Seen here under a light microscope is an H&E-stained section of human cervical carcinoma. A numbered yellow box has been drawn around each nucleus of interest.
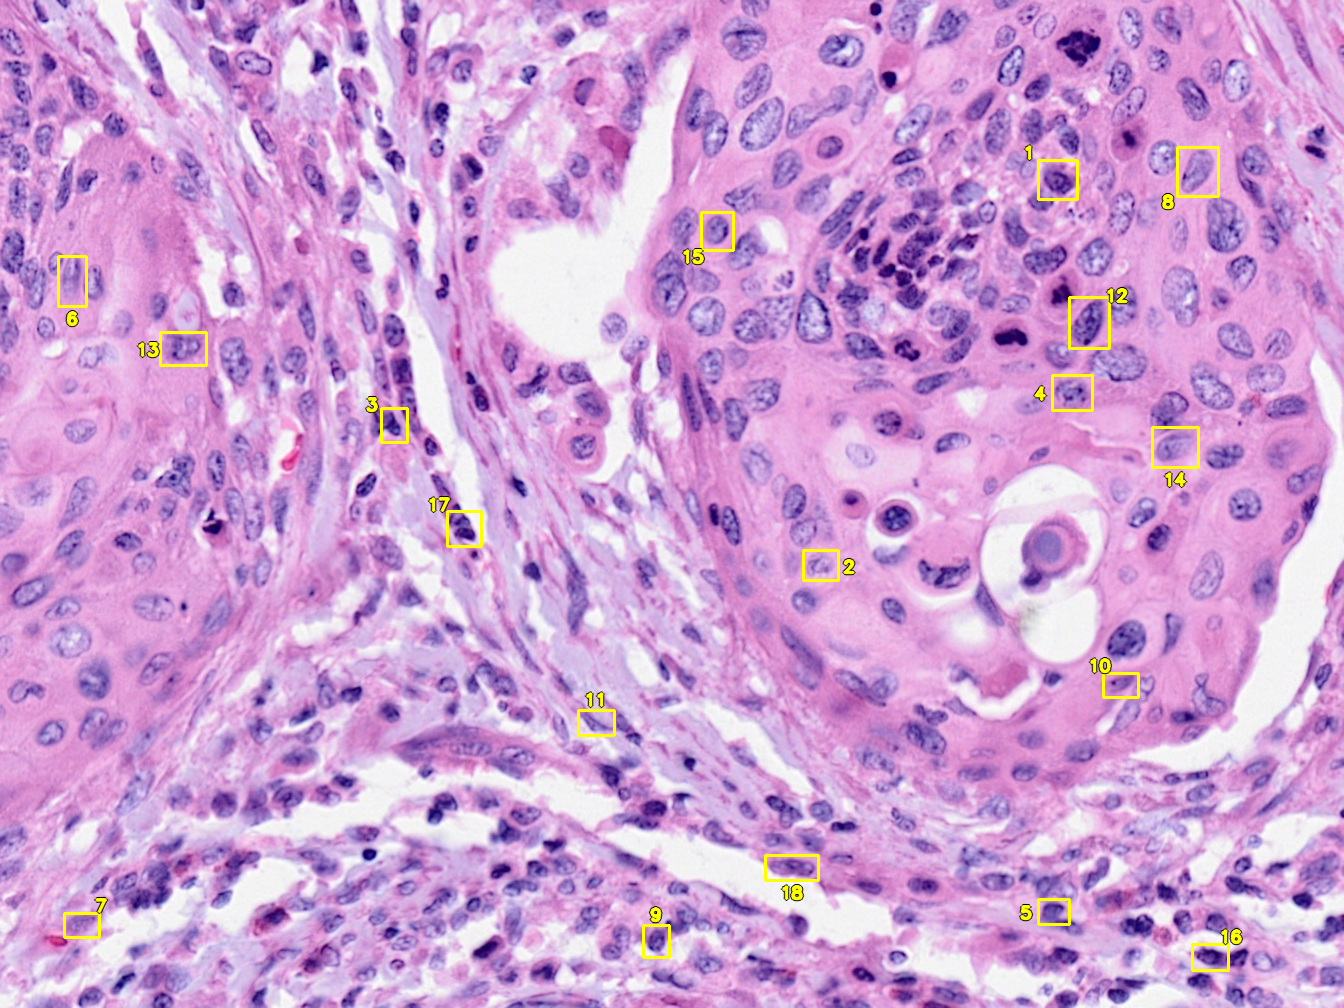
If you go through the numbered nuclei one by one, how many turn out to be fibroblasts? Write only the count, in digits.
1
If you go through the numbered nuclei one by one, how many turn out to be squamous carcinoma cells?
10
